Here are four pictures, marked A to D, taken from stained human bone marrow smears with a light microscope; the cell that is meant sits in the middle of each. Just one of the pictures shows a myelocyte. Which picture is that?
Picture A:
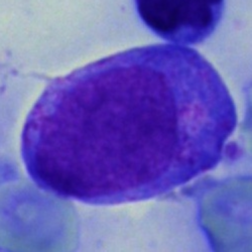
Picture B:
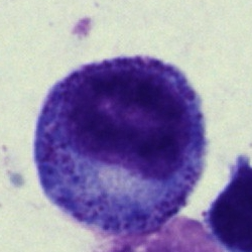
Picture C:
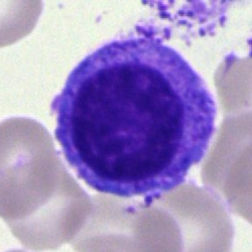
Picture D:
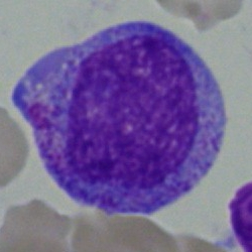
C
